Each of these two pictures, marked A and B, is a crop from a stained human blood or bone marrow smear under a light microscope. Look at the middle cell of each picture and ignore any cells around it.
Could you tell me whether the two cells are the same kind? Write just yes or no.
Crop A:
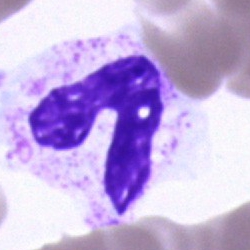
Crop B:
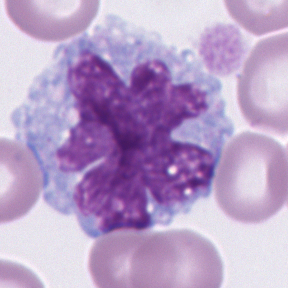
no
